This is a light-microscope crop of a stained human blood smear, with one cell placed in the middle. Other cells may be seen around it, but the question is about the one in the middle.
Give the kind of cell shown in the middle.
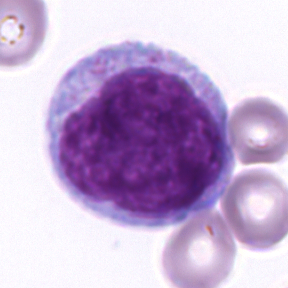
promyelocyte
